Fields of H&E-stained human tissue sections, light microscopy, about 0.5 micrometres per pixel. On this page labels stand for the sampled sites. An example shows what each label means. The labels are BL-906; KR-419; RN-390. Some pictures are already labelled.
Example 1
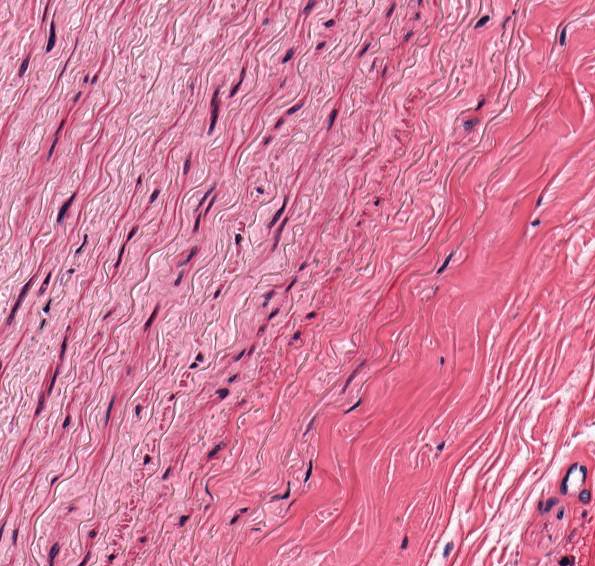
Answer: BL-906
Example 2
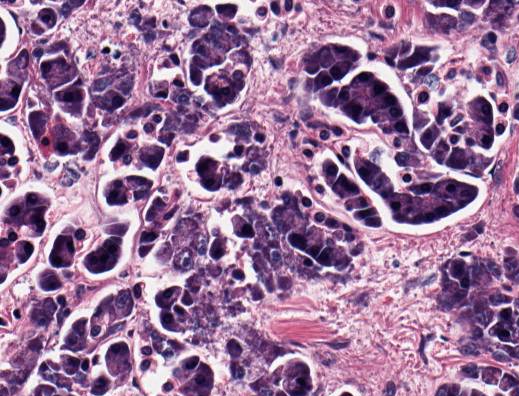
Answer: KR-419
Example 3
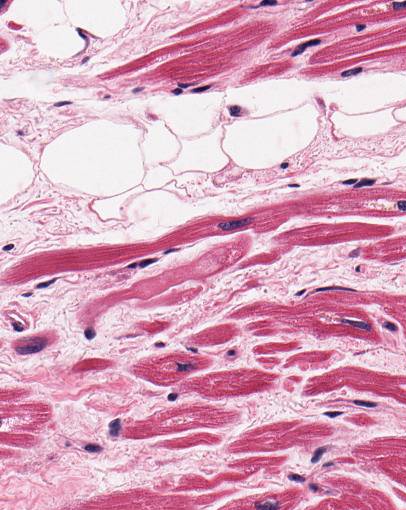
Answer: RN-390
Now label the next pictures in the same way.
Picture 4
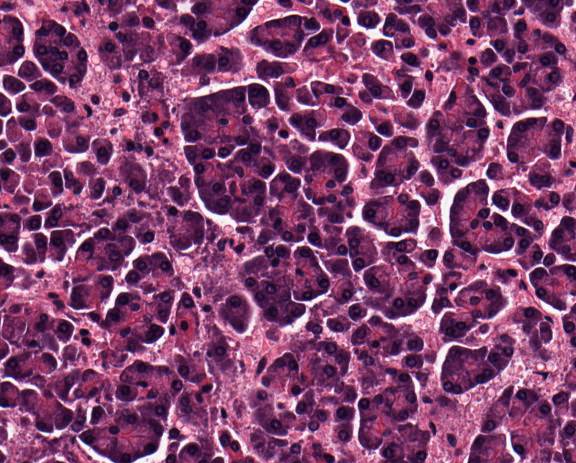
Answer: KR-419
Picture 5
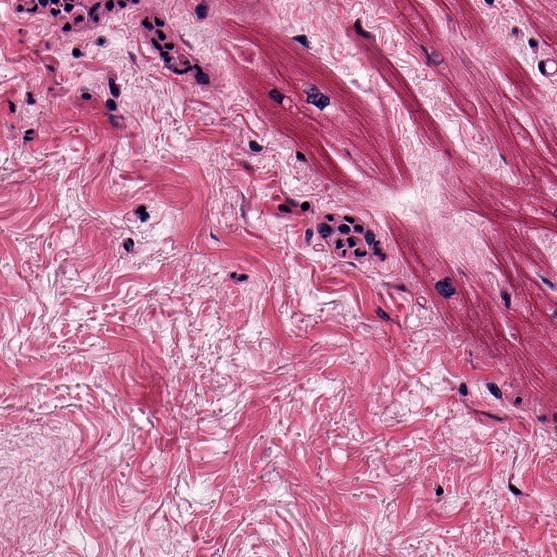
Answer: RN-390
